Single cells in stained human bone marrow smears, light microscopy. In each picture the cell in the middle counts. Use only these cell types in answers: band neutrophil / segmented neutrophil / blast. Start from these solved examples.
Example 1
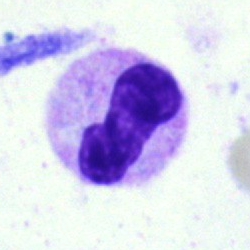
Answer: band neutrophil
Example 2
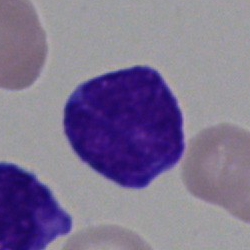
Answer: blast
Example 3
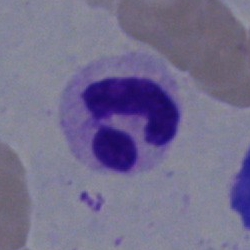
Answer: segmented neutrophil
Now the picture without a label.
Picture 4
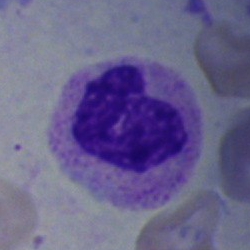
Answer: band neutrophil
